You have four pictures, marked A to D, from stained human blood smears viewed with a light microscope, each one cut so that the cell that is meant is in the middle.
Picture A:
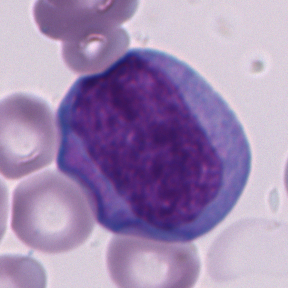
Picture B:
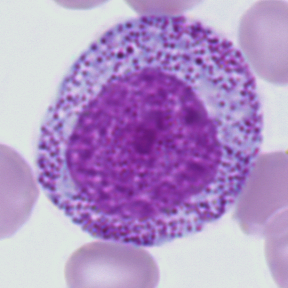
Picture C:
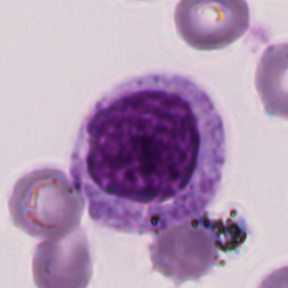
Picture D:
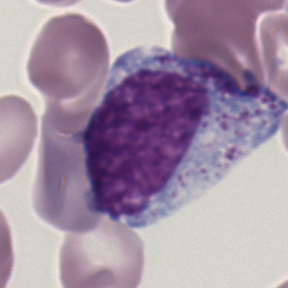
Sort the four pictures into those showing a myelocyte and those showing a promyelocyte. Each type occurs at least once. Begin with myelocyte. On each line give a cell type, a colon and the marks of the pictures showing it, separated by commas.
myelocyte: B, C, D
promyelocyte: A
